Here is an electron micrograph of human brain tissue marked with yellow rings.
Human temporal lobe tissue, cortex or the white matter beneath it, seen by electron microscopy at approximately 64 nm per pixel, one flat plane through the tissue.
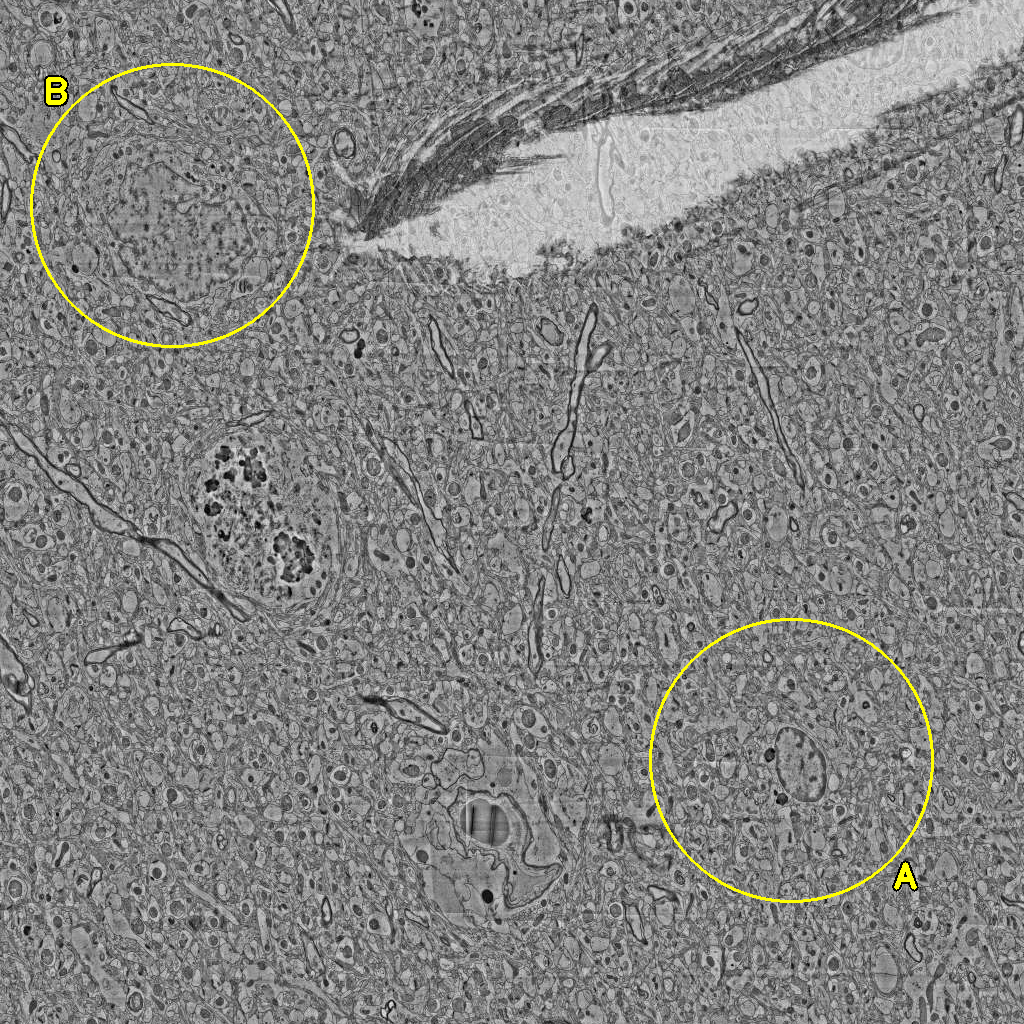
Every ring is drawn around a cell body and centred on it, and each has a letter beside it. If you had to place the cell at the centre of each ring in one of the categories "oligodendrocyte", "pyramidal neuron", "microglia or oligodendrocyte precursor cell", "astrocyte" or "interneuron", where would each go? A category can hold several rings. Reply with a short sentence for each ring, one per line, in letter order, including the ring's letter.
The centre of ring A holds a microglial cell or oligodendrocyte precursor cell.
The centre of ring B holds an interneuron.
